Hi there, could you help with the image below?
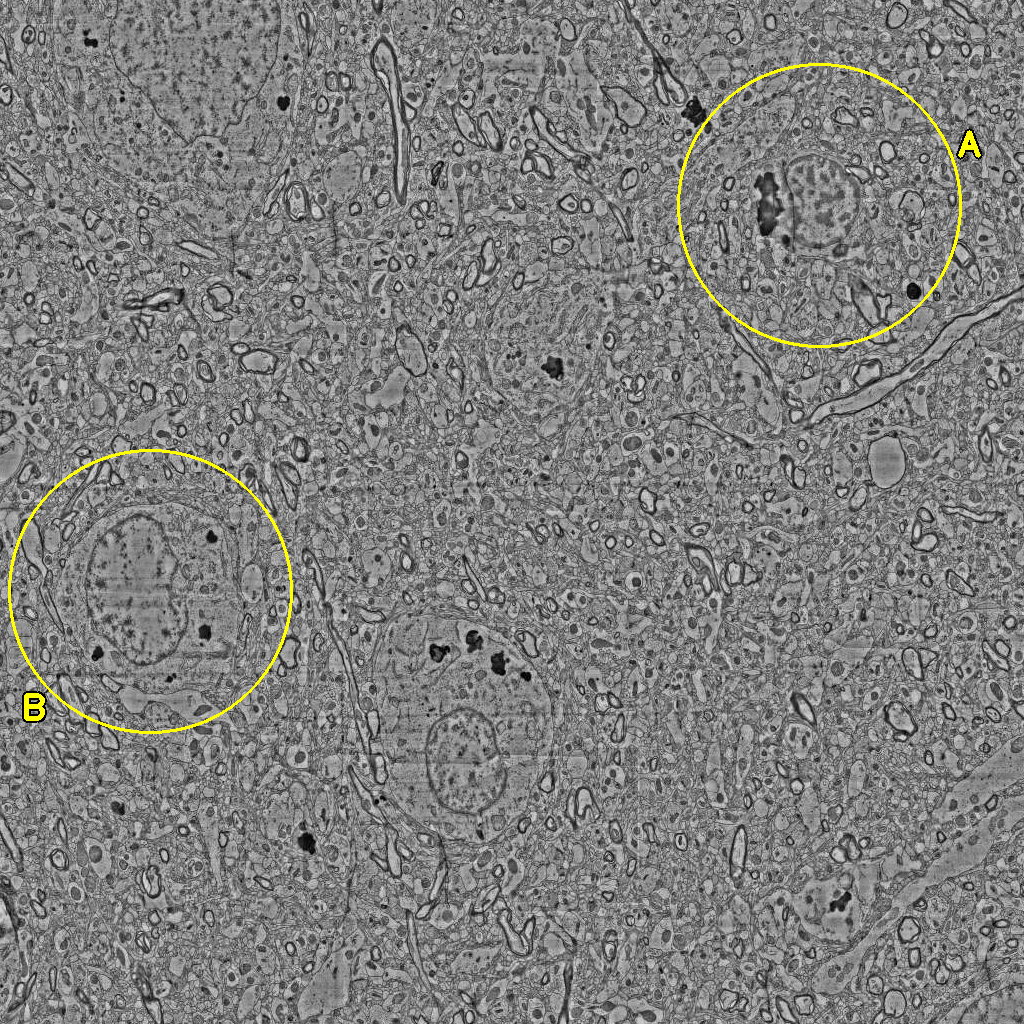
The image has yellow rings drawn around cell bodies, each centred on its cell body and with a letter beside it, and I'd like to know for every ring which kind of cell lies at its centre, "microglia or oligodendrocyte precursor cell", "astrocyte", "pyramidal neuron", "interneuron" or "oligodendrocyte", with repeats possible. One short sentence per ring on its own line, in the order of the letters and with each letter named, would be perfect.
Ring A is placed around an oligodendrocyte.
Ring B is placed around an interneuron.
